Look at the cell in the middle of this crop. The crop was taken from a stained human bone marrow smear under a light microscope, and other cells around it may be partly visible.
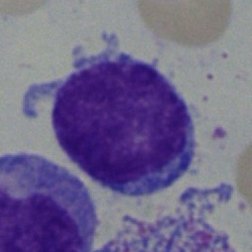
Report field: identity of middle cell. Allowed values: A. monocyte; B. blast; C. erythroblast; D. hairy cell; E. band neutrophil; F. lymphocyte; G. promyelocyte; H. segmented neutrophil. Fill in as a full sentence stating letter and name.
The cell centered in the crop is a blast, making option B the correct pick.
